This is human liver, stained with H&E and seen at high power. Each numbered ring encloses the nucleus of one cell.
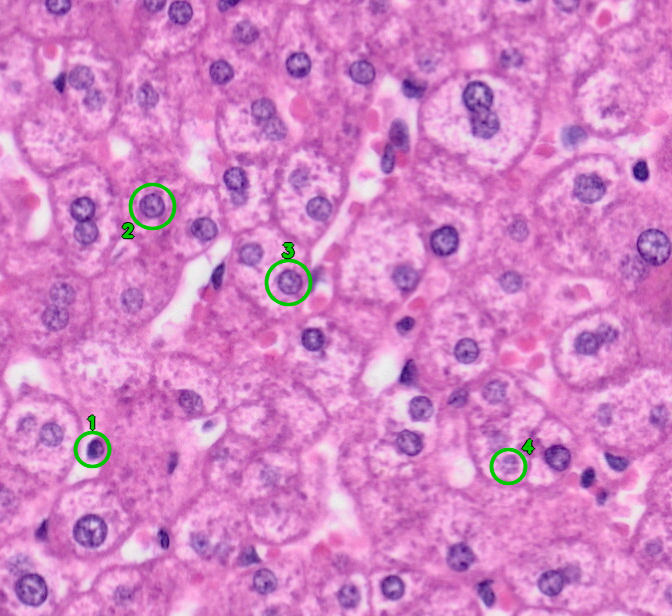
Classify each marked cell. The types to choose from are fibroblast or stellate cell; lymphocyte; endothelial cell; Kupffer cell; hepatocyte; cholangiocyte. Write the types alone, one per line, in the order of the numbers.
lymphocyte
hepatocyte
hepatocyte
hepatocyte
